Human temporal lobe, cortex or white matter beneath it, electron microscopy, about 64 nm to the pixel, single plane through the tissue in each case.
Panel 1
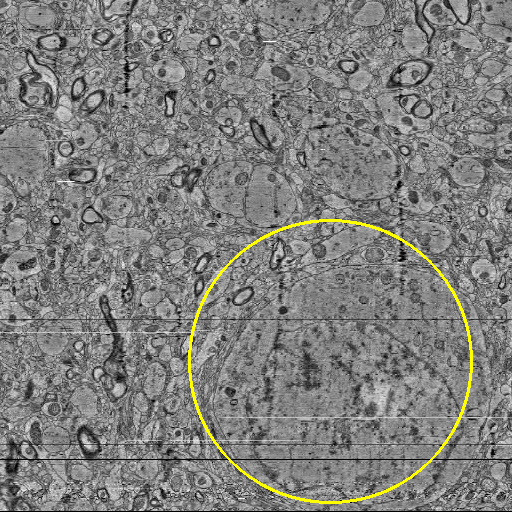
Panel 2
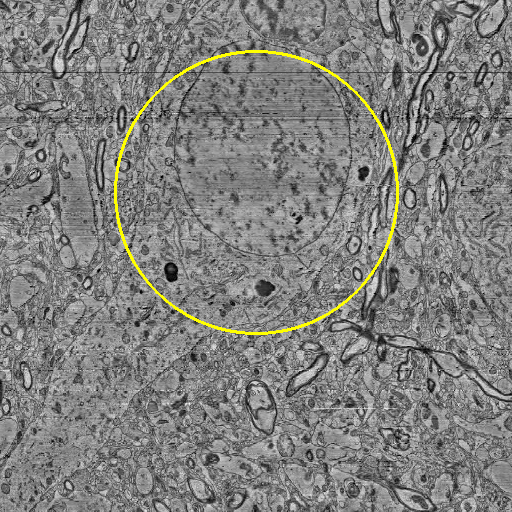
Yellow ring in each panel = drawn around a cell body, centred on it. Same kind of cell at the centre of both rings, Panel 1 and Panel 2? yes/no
yes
